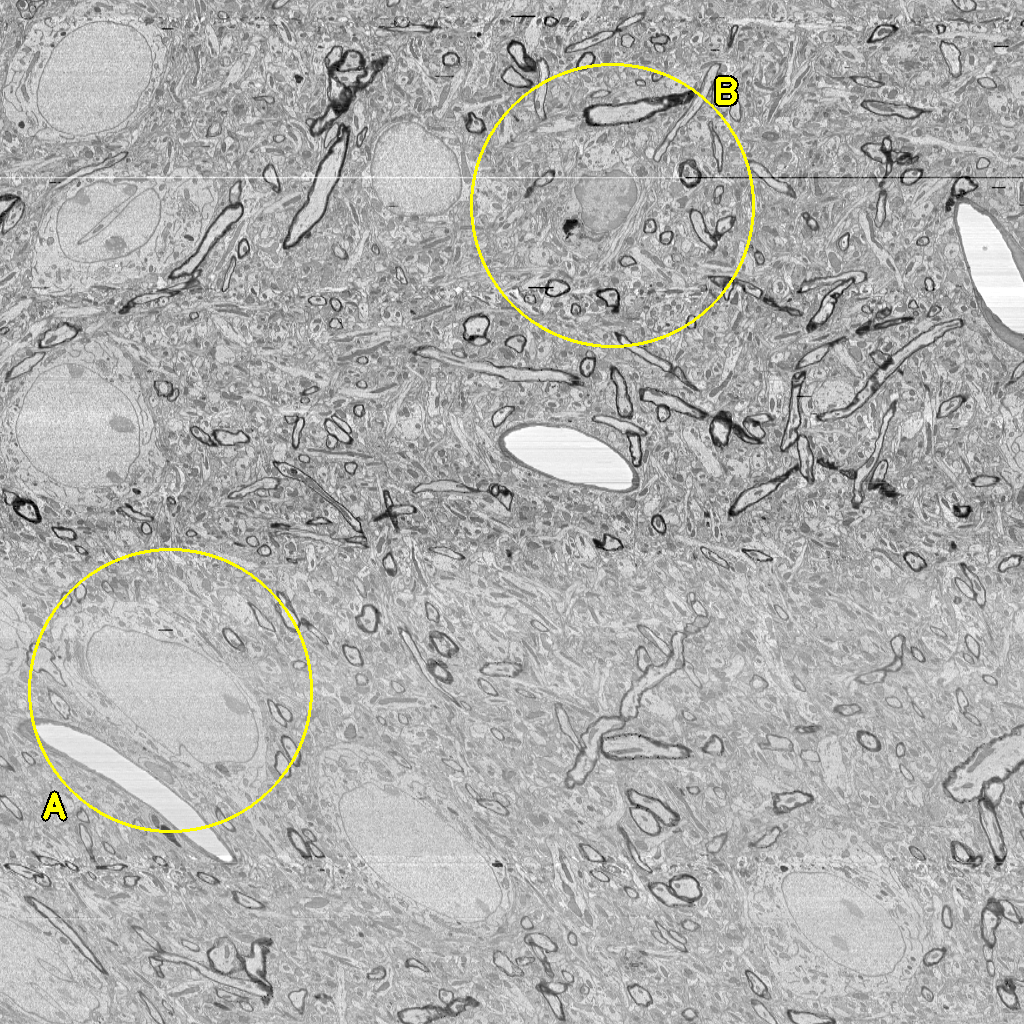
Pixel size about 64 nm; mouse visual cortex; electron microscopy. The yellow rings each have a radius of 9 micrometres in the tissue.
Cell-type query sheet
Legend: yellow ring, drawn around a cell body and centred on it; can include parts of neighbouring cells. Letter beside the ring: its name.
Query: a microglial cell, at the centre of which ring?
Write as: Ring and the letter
Ring B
